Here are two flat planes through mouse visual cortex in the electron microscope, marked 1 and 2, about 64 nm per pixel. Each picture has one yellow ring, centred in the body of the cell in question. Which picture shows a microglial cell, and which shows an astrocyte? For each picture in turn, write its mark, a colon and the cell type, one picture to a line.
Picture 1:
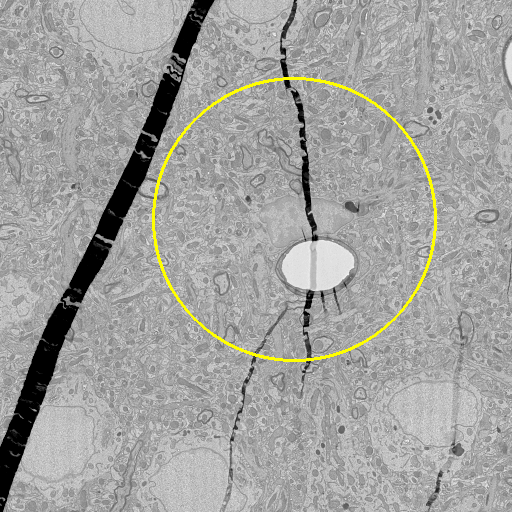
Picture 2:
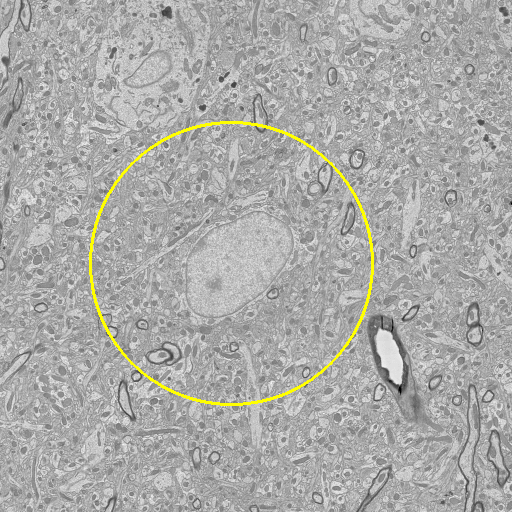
1: microglial cell
2: astrocyte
